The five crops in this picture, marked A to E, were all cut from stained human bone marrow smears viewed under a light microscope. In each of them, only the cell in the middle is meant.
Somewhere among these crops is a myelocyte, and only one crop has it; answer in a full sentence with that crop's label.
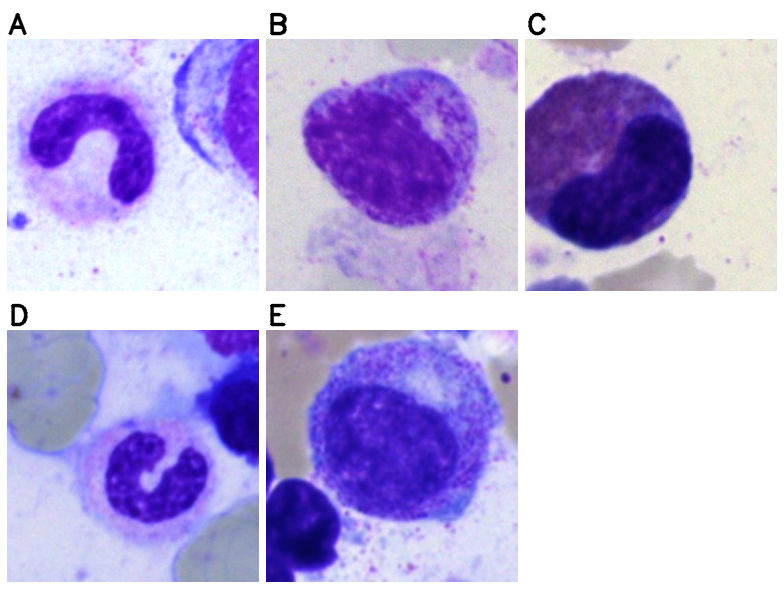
Crop B is the right one; it is the crop showing a myelocyte.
